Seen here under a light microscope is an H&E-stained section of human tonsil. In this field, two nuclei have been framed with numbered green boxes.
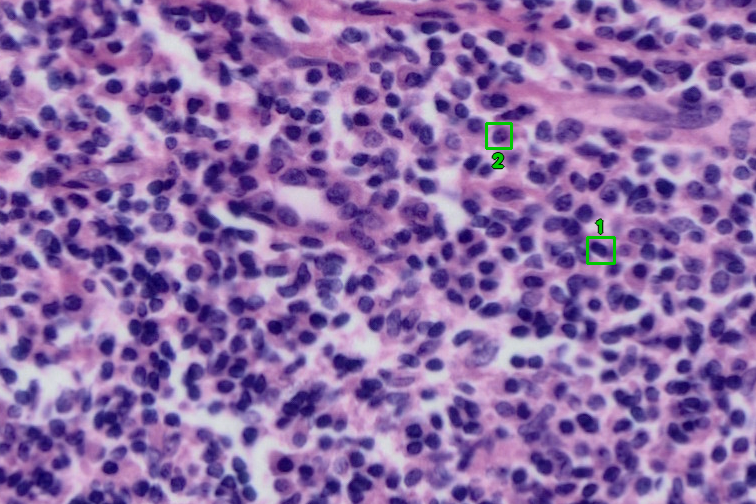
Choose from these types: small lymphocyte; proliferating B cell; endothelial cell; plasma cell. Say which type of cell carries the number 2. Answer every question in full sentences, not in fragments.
Here the cell numbered 2 is a plasma cell.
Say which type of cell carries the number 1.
The cell that carries the label 1 is a small lymphocyte.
